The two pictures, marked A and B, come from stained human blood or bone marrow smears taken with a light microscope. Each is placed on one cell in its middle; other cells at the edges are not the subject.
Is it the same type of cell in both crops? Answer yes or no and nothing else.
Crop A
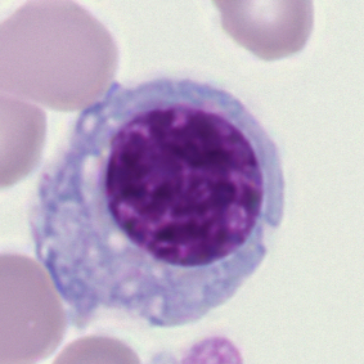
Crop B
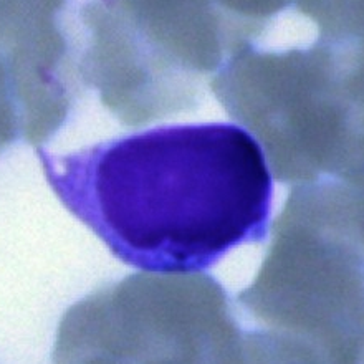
no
